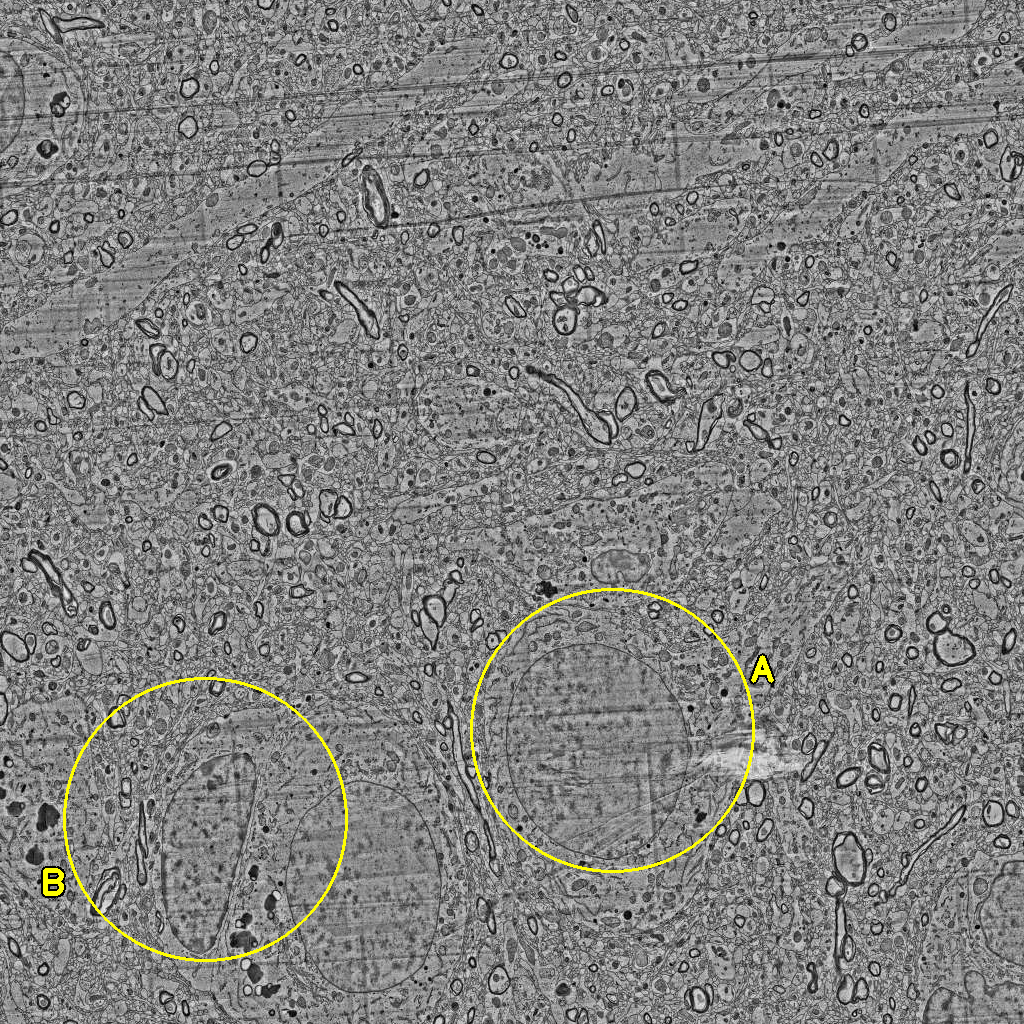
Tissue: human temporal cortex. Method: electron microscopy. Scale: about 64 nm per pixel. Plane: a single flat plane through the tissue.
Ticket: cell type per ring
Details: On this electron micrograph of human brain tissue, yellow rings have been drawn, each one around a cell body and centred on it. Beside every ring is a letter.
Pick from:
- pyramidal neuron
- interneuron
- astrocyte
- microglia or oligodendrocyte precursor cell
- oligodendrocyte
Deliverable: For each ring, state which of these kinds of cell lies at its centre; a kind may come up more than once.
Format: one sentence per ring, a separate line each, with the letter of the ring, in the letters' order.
The cell body ringed as A belongs to a pyramidal neuron.
The cell body ringed as B belongs to a microglial cell or oligodendrocyte precursor cell.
